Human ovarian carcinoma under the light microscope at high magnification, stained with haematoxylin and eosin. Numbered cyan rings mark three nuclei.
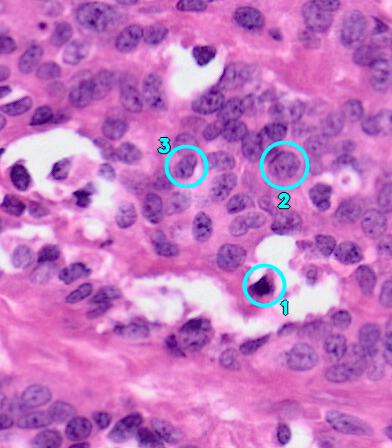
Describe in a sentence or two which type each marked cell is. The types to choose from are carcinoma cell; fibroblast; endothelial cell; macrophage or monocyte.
Cells 1 and 2 are carcinoma cells. Cell 3 is a macrophage or monocyte.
